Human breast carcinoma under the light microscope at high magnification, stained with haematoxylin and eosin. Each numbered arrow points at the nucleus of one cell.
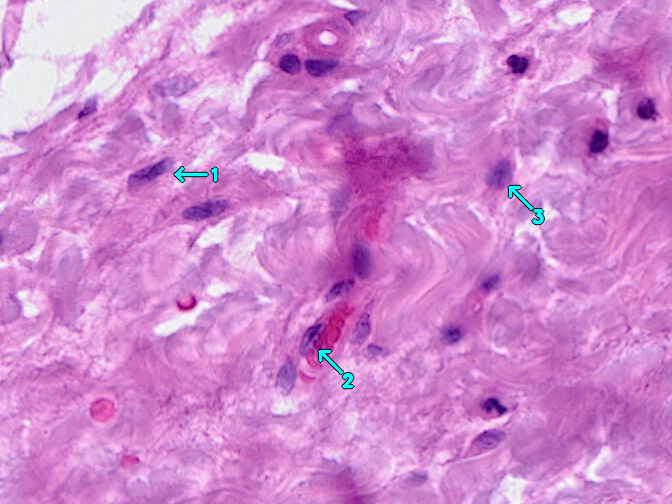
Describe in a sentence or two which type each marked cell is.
Cell 1 is a fibroblast, cell 2 is an endothelial cell and cell 3 is a fibroblast.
